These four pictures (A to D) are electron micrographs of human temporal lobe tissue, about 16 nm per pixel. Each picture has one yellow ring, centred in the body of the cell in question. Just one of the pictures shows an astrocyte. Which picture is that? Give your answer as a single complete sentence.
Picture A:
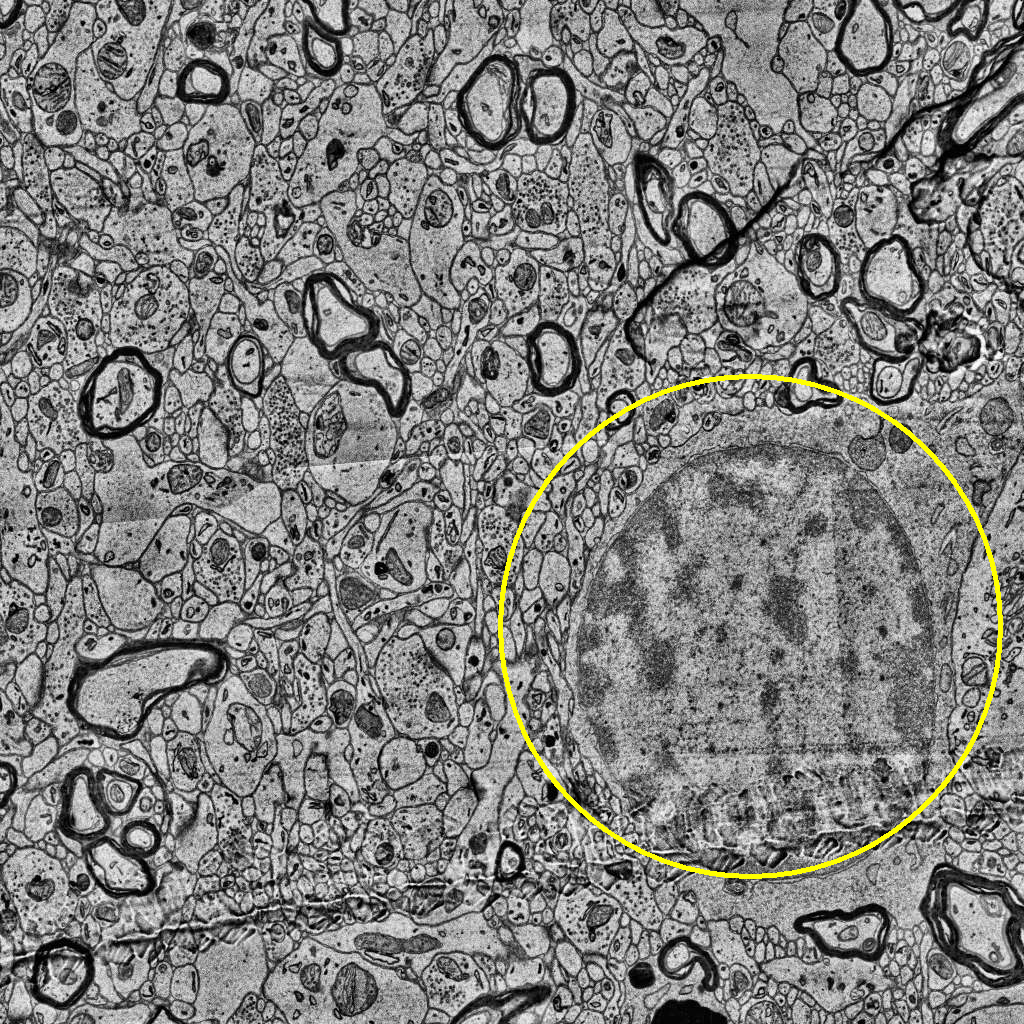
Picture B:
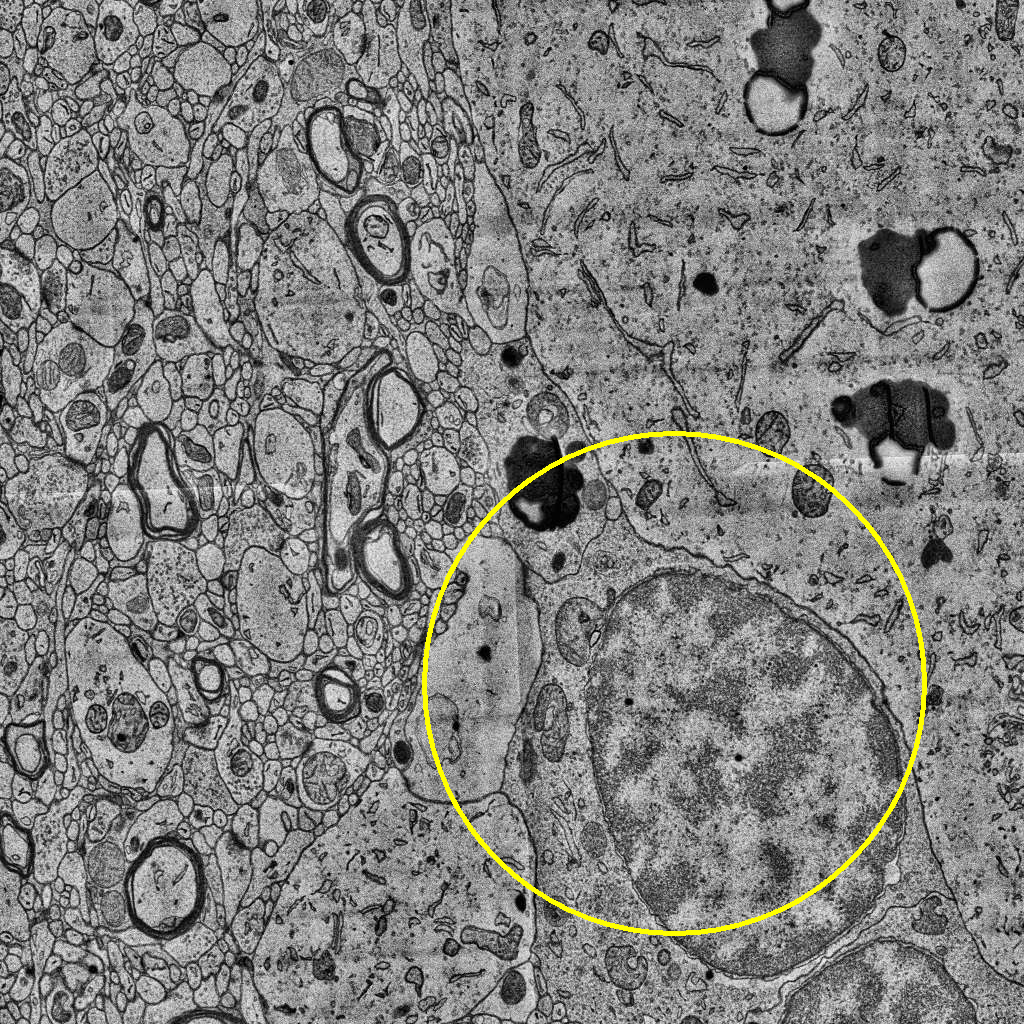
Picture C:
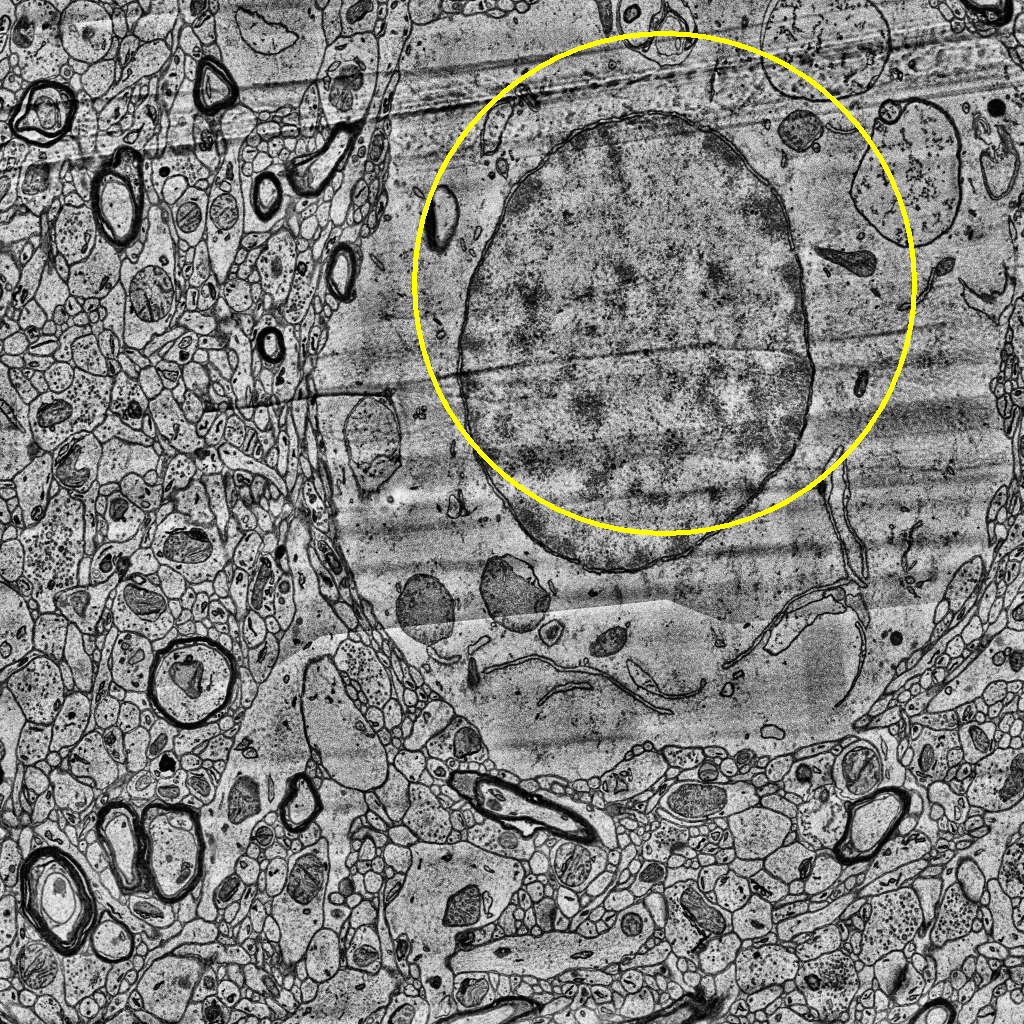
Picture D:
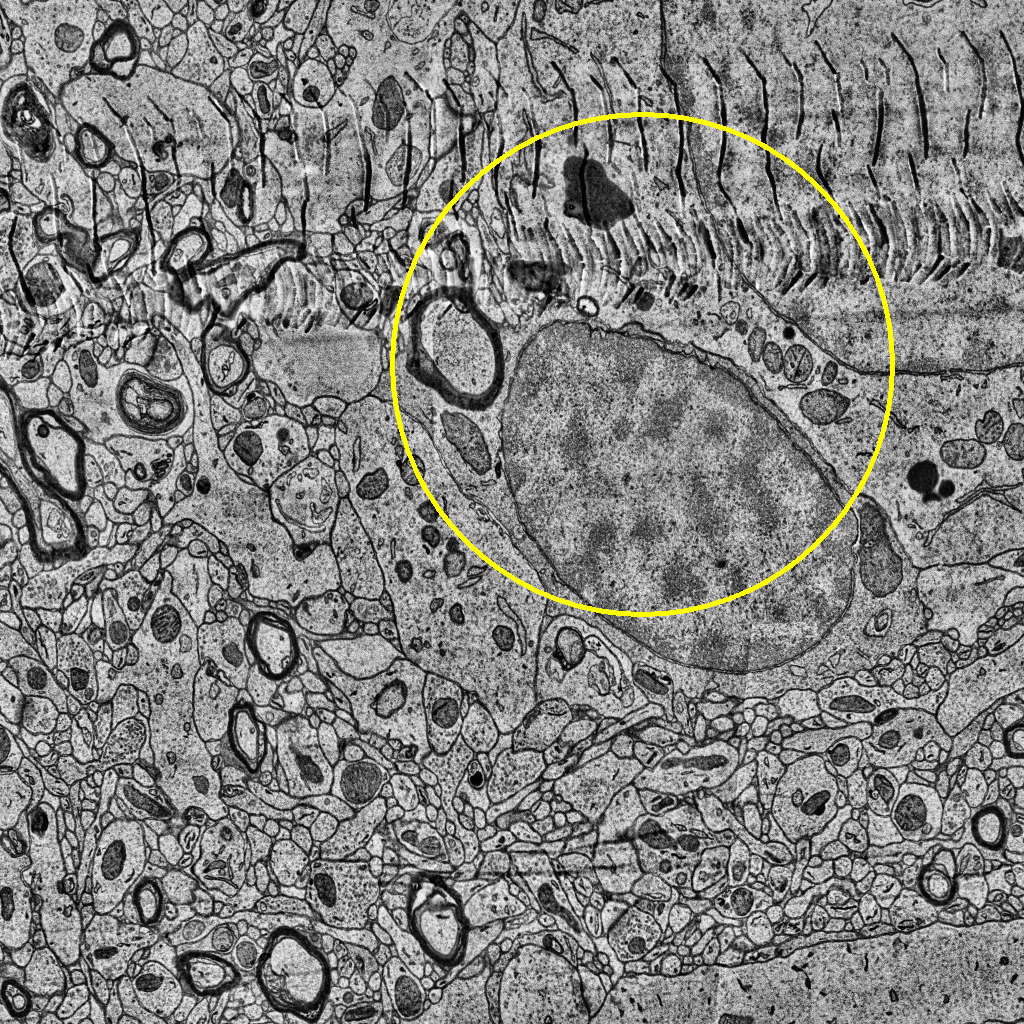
The cell in picture C is the astrocyte.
